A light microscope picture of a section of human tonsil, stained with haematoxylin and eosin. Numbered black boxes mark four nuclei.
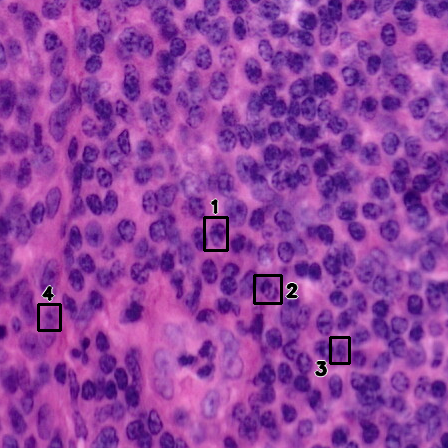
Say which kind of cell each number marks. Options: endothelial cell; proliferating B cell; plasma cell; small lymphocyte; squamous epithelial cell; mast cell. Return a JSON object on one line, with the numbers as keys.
{"1": "plasma cell", "2": "plasma cell", "3": "plasma cell", "4": "squamous epithelial cell"}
